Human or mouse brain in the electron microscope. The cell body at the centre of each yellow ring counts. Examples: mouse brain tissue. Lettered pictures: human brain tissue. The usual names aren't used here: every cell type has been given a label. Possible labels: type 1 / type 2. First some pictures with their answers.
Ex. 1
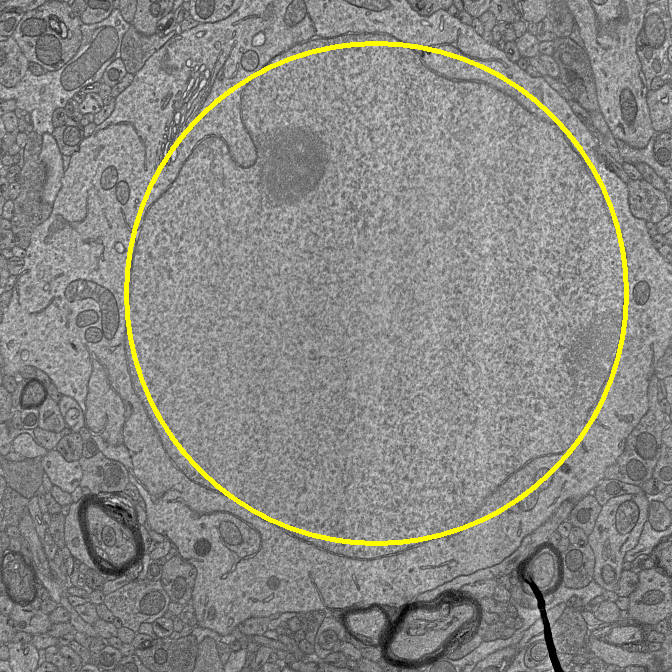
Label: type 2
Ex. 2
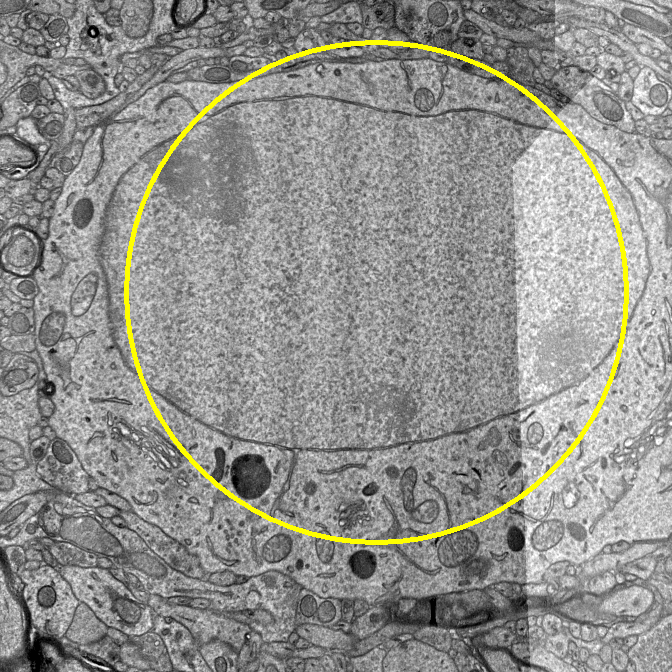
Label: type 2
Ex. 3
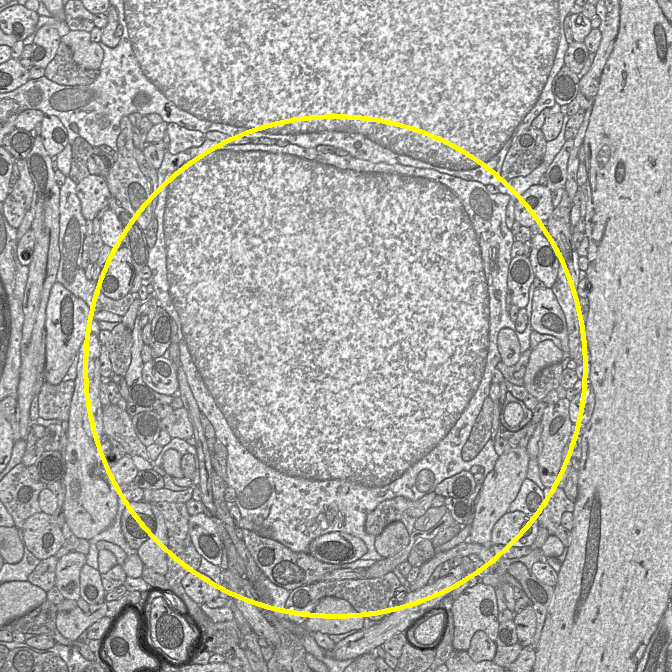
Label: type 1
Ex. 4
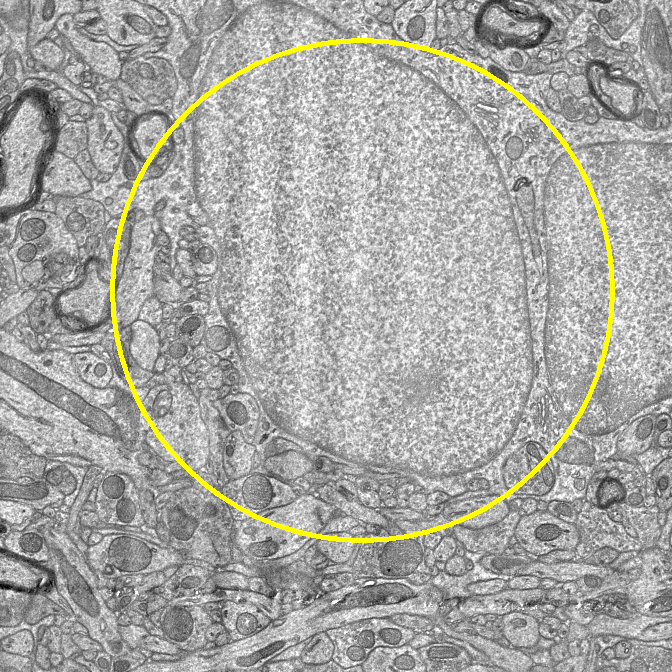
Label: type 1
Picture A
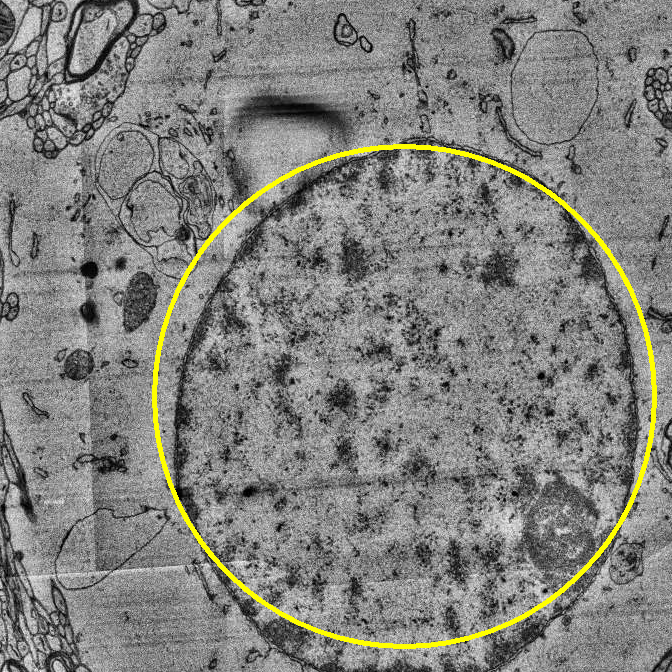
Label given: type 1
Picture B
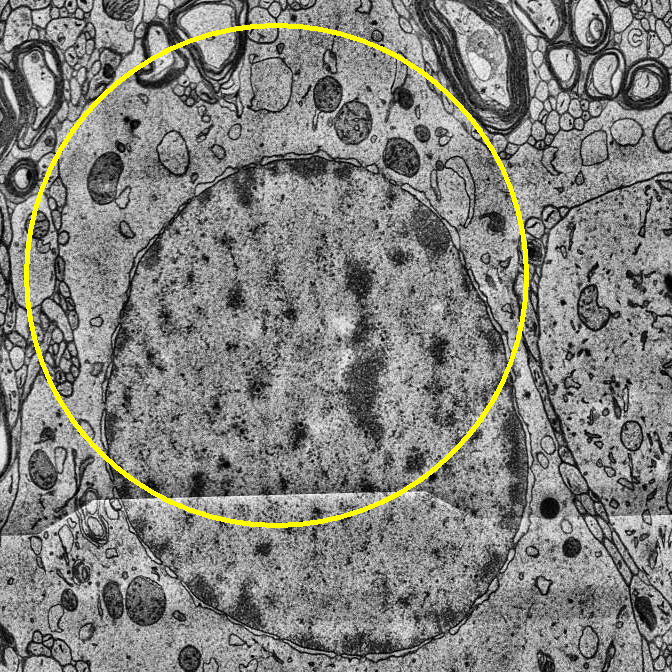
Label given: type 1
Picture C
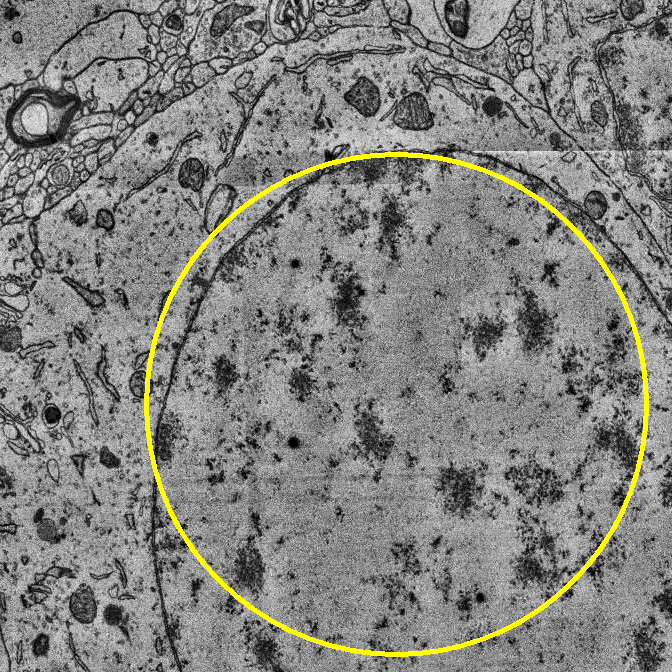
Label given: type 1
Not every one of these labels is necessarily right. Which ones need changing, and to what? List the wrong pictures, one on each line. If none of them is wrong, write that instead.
C should be type 2, not type 1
